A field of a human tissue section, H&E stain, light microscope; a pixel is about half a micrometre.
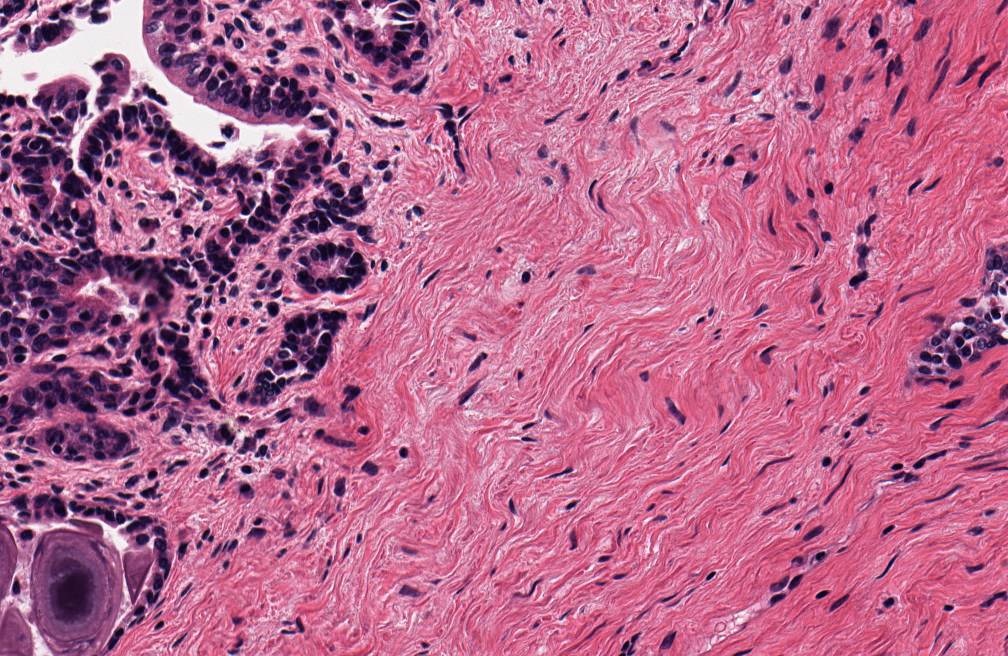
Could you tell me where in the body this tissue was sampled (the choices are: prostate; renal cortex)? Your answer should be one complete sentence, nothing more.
From the prostate was taken the tissue in this section.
